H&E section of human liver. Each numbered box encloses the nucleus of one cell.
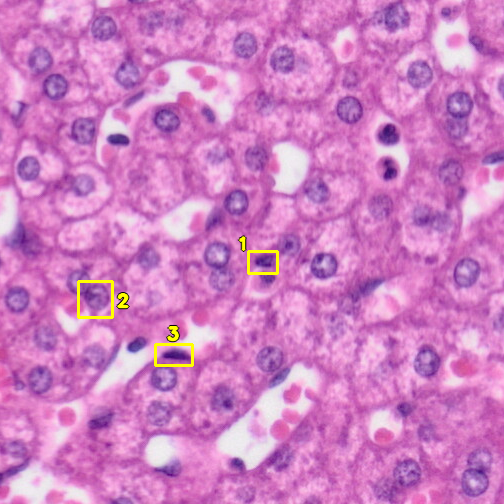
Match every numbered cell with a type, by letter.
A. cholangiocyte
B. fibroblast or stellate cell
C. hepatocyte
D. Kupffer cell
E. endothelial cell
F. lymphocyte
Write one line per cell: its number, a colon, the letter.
1: B
2: C
3: B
